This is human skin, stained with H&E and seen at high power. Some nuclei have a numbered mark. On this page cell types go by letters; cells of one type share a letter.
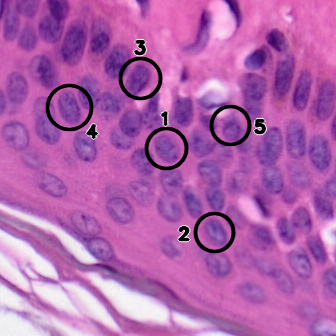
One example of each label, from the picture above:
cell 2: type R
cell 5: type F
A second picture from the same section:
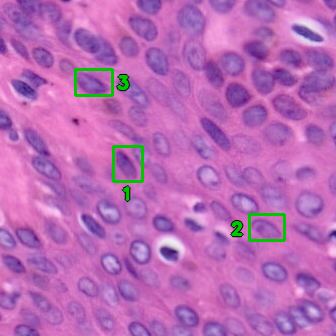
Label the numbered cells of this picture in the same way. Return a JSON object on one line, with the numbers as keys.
{"1": "type F", "2": "type R", "3": "type F"}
